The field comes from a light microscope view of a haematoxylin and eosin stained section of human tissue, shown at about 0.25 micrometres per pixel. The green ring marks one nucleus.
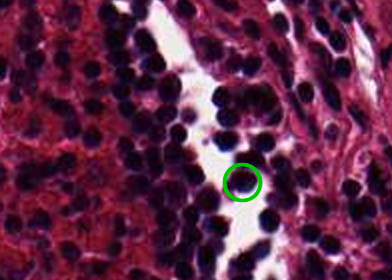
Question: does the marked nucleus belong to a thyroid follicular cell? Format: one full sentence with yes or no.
No, the marked nucleus is to be assigned to a supporting cell, not to a thyroid follicular cell.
